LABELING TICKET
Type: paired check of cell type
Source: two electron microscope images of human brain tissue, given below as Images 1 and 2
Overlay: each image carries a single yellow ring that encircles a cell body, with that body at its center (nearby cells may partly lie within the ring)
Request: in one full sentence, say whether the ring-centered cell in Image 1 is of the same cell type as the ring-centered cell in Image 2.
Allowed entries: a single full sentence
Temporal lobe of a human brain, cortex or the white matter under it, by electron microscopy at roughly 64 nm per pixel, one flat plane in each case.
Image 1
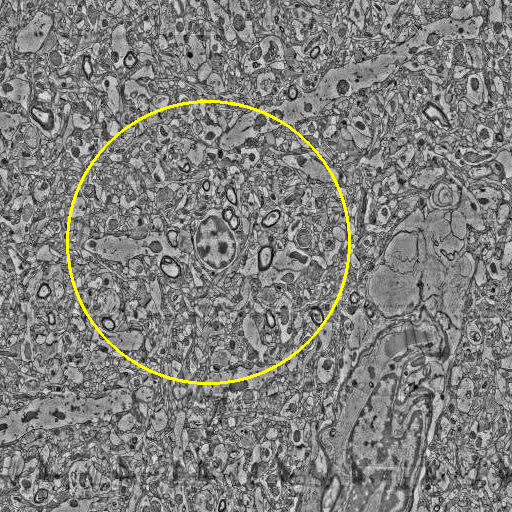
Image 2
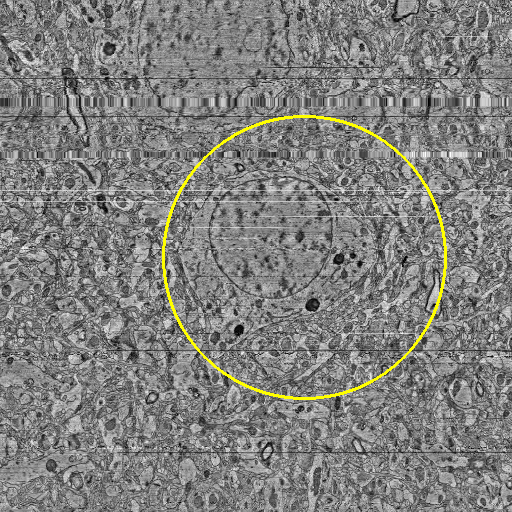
No, the cells centered in the rings of Image 1 and Image 2 are of two types.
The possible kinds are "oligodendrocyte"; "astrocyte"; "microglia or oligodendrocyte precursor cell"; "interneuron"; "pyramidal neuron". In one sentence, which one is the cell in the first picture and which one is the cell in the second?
The cell ringed in the second picture is a pyramidal neuron, whereas the one ringed in the first is a microglial cell or oligodendrocyte precursor cell.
